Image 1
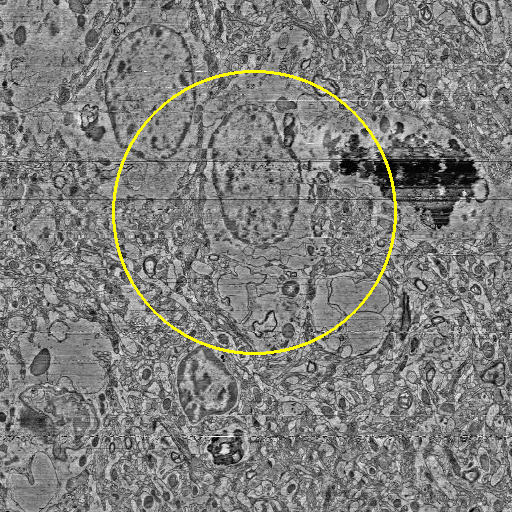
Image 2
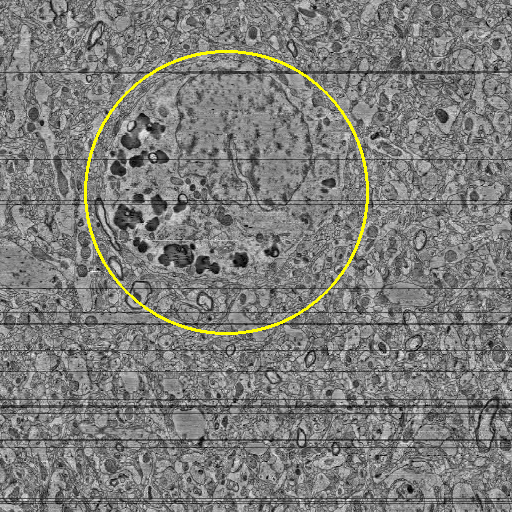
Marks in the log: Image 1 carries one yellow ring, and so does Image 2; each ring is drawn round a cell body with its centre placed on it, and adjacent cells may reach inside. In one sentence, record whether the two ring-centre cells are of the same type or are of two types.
The two cells at the ring centres, one in each image, are of two types.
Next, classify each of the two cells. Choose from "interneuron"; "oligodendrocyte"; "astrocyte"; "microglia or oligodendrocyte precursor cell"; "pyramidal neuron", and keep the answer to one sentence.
In the first picture it is an astrocyte; in the second it is an interneuron.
